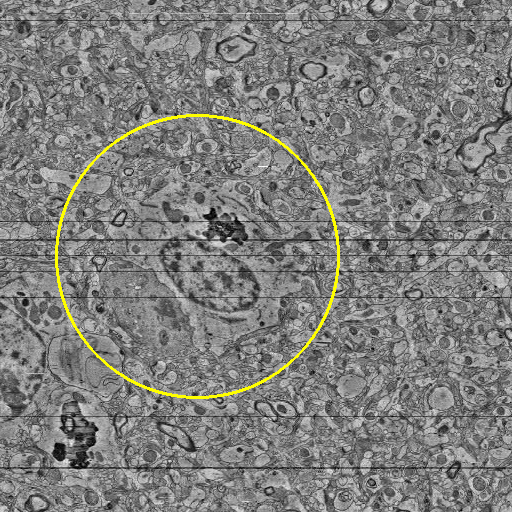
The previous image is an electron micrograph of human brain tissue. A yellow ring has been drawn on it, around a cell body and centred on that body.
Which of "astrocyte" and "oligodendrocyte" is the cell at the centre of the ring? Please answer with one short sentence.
The cell body at the centre of the ring belongs to an astrocyte.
